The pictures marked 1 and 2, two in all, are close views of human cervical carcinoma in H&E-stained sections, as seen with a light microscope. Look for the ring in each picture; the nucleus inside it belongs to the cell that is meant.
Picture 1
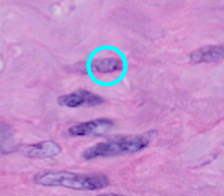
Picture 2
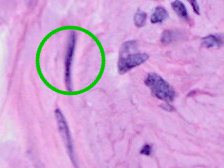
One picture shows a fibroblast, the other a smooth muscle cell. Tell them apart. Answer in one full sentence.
Picture 1 shows a smooth muscle cell and picture 2 shows a fibroblast.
